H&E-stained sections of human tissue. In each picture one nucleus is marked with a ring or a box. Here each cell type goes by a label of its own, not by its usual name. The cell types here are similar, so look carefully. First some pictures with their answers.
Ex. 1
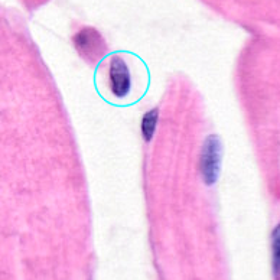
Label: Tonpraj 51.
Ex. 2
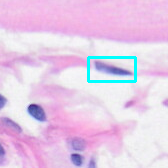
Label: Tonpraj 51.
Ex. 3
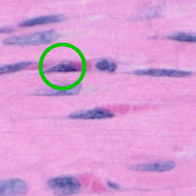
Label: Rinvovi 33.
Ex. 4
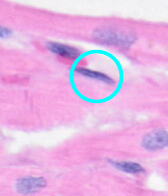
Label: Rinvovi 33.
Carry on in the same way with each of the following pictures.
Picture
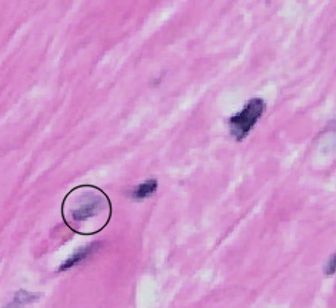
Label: Rinvovi 33.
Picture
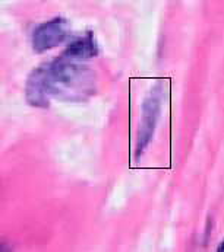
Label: Tonpraj 51.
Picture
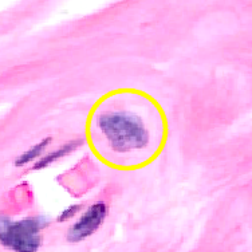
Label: Rinvovi 33.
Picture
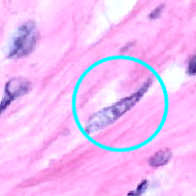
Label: Tonpraj 51.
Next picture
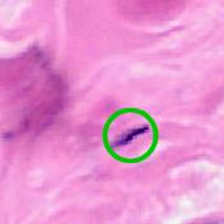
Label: Tonpraj 51.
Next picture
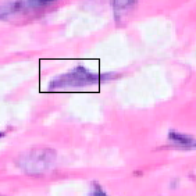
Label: Tonpraj 51.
